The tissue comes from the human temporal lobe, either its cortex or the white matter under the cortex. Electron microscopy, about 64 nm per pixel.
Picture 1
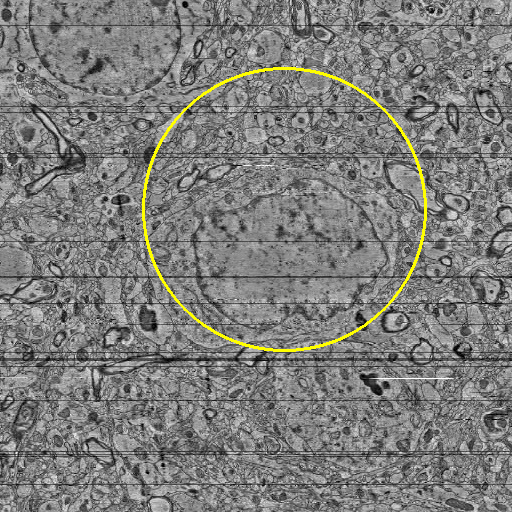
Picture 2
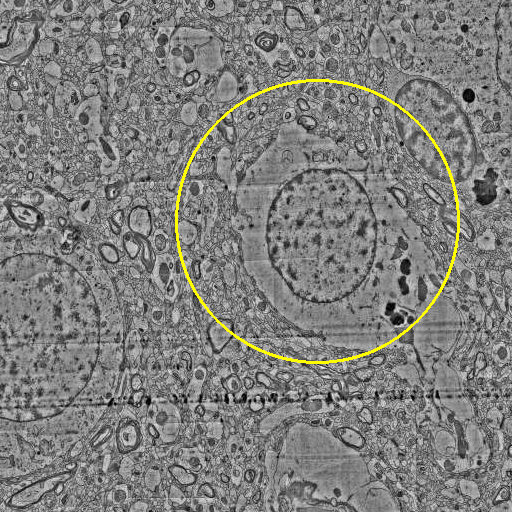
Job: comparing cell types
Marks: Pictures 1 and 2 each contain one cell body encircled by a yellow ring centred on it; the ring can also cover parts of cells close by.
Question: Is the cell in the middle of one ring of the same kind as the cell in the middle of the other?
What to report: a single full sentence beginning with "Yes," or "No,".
No, the cell at the ring centre in Picture 1 and its partner in Picture 2 are of two kinds.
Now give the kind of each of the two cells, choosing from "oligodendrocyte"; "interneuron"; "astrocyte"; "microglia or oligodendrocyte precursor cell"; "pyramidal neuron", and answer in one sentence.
The cell in the first picture is an interneuron, and the cell in the second is an astrocyte.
